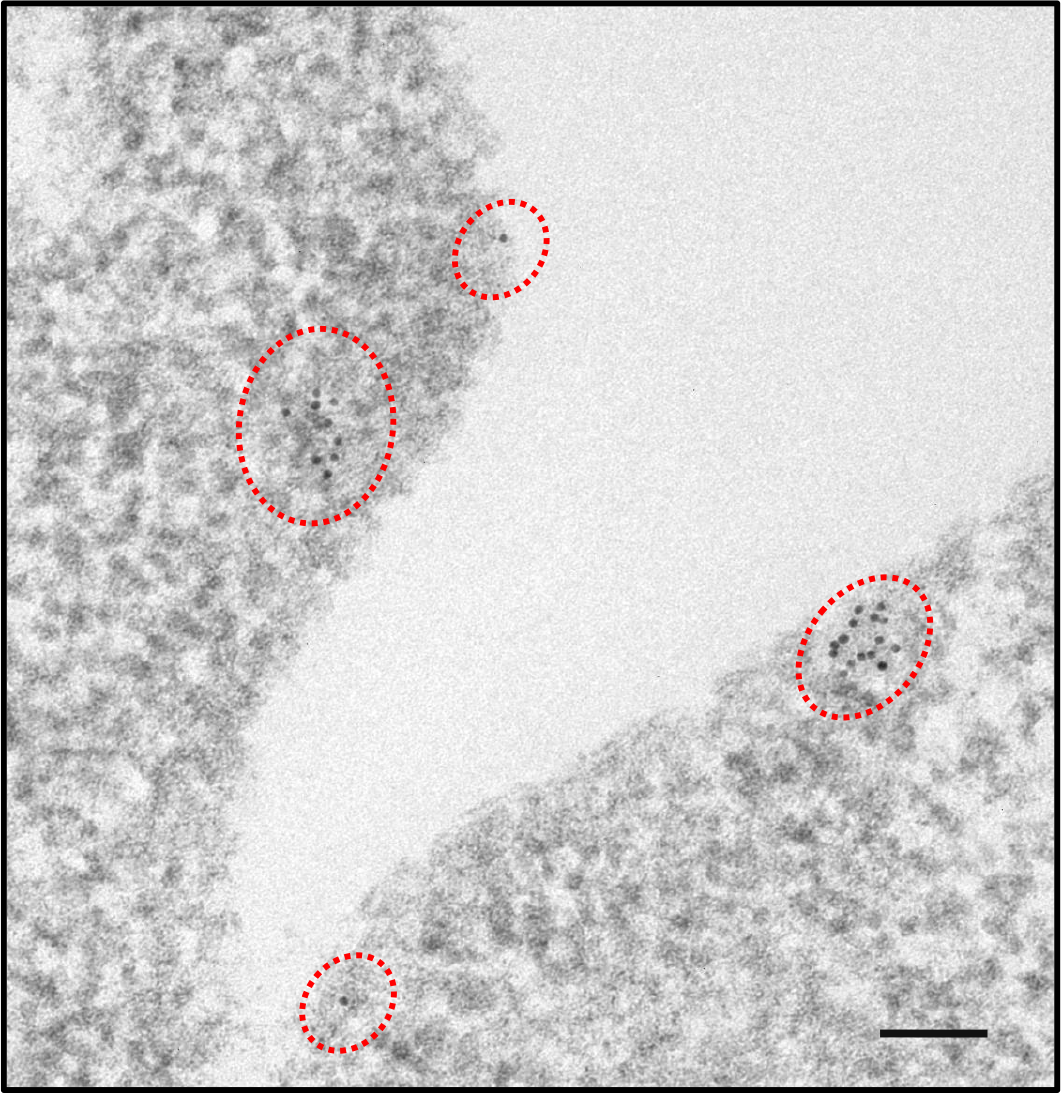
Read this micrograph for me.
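Two regions of grainy grey cytoplasm, one at the upper left and one at the lower right, are separated by a broad, pale, featureless space outside the cells. Small clusters and single gold particles lie close to the cell borders facing this space, in keeping with labelling at the plasmalemma. The cytoplasm shows a mottled texture of darker and lighter patches without clearly bounded organelles.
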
